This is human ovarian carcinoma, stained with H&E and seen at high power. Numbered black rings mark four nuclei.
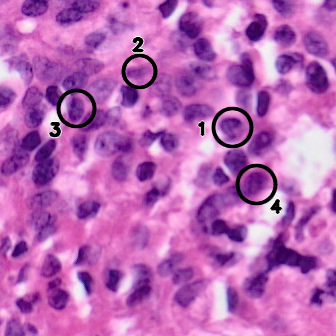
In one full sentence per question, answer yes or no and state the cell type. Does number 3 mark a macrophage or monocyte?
No, in terms of cell type, cell 3 is a carcinoma cell, not a macrophage or monocyte.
